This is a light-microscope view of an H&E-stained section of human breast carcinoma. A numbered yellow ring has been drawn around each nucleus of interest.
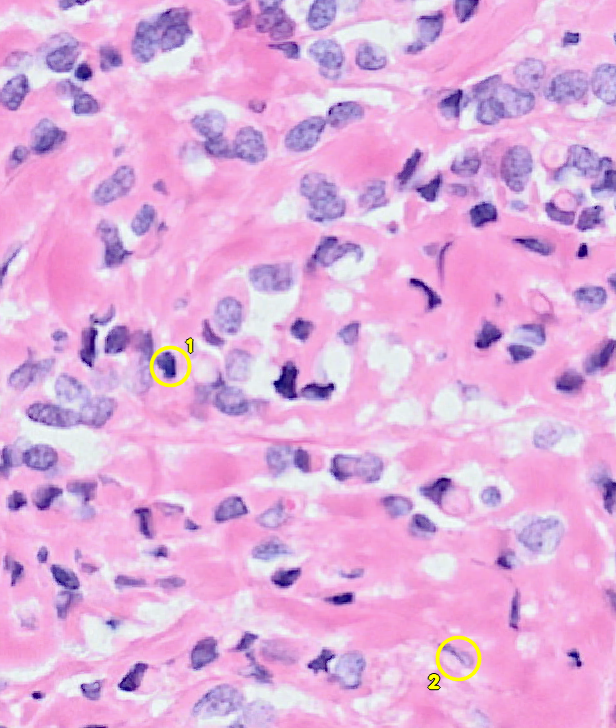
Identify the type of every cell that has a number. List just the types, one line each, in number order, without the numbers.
lymphocyte
fibroblast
